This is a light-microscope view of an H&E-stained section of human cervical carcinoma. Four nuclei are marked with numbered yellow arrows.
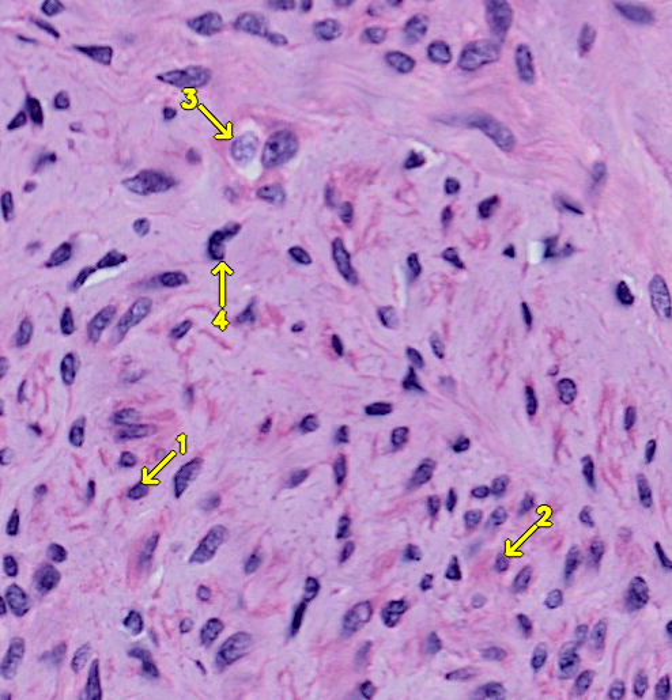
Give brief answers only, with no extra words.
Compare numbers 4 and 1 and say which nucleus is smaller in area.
1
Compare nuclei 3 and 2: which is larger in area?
3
